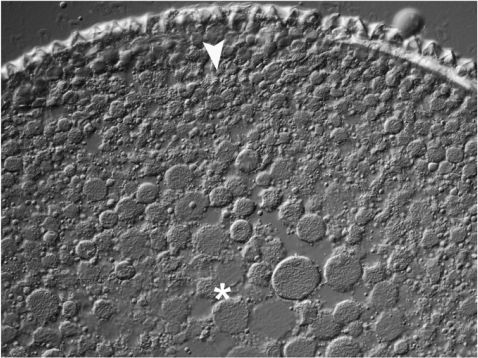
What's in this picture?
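This section through an egg shows its cytoplasm packed with yolk organelles beneath a sculptured outer shell. The inner, core region holds many large round yolk organelles of varied size, some with a granular content. Towards the periphery the organelles are smaller and irregularly distributed, forming a band of fine granules under the surface.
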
